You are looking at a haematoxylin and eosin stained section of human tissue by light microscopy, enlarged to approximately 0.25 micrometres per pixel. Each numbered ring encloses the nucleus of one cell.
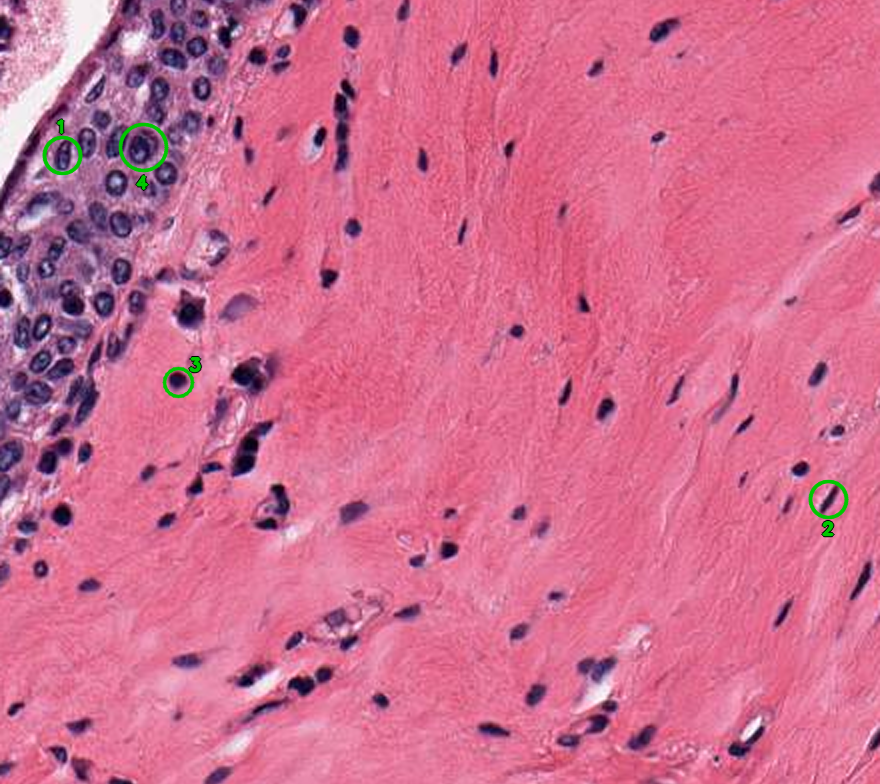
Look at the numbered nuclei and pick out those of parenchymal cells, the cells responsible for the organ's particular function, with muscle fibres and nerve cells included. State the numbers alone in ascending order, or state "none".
1, 4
